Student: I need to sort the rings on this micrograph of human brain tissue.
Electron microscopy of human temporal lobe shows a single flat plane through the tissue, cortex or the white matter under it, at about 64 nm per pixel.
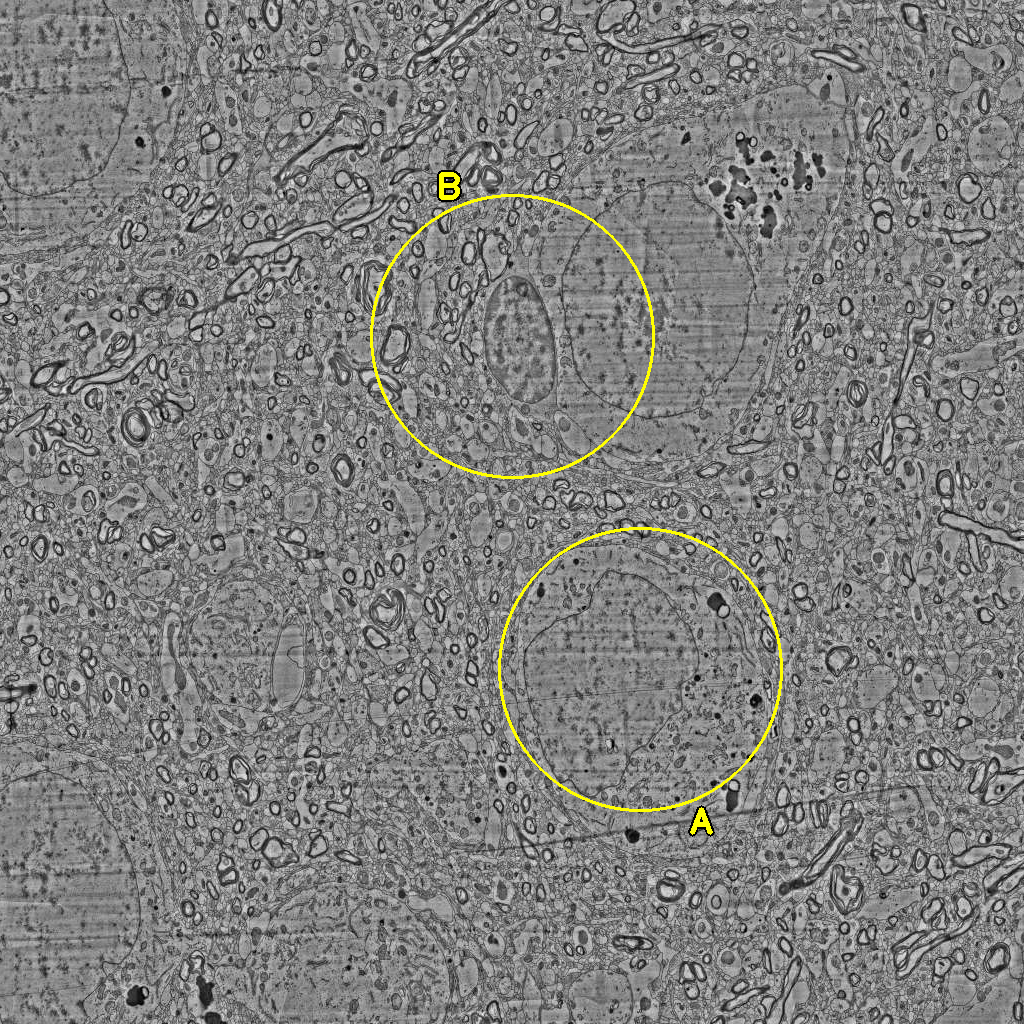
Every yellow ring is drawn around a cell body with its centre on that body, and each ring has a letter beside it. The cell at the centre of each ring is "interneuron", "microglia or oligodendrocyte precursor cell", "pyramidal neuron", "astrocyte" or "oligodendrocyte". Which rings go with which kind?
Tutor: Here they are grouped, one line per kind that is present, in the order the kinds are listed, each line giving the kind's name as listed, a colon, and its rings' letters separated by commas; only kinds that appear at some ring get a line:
pyramidal neuron: A
oligodendrocyte: B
